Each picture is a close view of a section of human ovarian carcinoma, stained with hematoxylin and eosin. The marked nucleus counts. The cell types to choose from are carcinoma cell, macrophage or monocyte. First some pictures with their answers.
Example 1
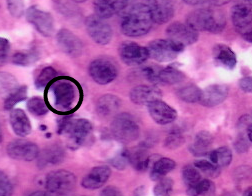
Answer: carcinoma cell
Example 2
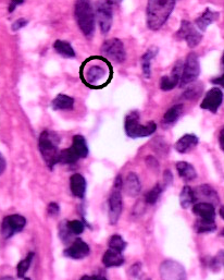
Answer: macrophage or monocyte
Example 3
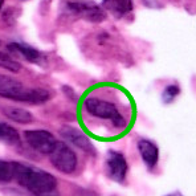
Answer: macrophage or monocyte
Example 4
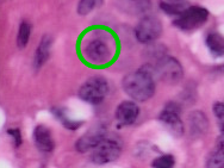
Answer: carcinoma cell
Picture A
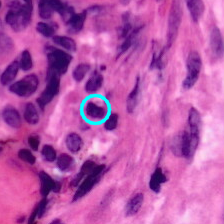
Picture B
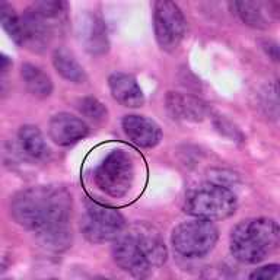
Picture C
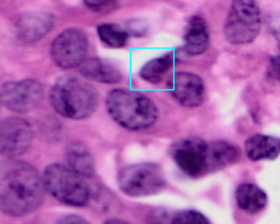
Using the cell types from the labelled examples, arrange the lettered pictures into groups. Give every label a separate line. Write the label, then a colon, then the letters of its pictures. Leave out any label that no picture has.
carcinoma cell: B, C
macrophage or monocyte: A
